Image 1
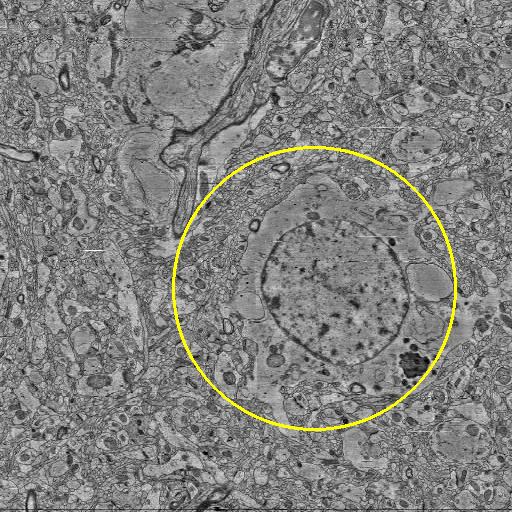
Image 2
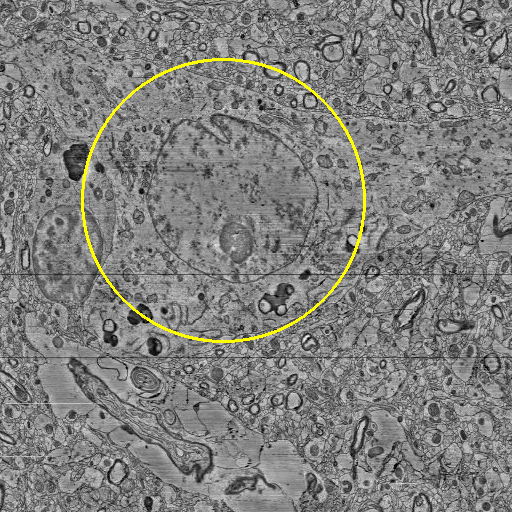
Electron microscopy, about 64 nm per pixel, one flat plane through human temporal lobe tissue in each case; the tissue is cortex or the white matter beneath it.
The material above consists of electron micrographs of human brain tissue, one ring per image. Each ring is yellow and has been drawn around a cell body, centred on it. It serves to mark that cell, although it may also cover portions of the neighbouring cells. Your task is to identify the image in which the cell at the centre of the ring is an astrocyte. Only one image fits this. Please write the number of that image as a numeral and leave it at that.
1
